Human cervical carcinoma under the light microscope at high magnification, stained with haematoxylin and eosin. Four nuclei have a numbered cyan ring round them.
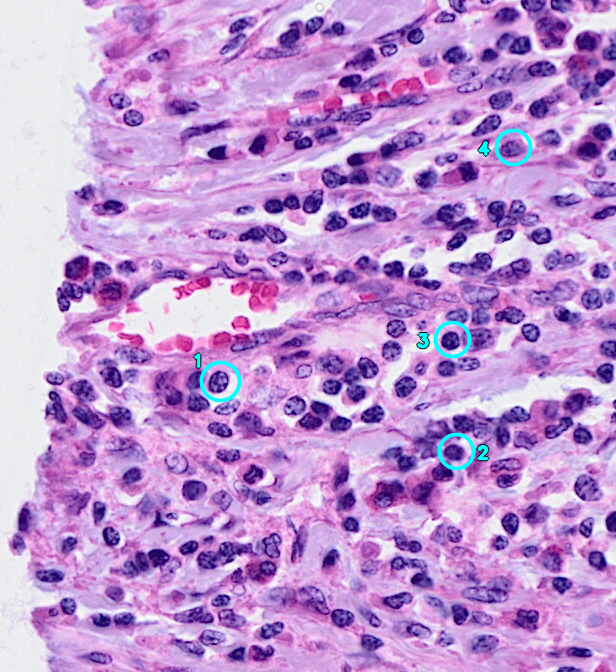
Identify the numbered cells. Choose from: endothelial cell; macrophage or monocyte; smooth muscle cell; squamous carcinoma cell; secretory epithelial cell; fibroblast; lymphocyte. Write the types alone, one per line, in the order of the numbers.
lymphocyte
lymphocyte
lymphocyte
macrophage or monocyte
